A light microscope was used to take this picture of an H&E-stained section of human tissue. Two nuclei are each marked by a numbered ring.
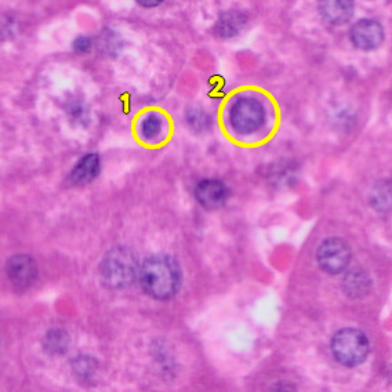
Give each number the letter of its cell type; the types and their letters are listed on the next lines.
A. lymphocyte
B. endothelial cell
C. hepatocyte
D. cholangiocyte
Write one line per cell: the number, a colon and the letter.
1: A
2: C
